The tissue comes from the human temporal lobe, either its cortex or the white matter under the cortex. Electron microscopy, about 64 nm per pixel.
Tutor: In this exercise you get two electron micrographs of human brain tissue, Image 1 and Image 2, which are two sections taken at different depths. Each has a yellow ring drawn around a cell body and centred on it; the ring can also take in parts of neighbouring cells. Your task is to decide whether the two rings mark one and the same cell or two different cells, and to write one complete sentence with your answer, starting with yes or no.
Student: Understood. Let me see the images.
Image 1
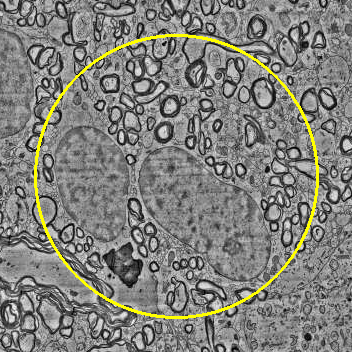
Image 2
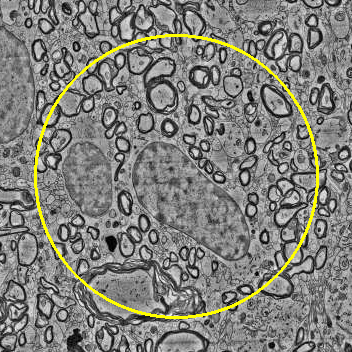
Yes, the same cell appears within both yellow rings.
